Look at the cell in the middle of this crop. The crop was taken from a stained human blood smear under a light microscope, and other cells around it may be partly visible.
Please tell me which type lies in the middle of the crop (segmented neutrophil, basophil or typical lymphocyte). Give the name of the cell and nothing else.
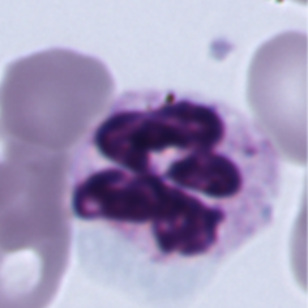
segmented neutrophil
